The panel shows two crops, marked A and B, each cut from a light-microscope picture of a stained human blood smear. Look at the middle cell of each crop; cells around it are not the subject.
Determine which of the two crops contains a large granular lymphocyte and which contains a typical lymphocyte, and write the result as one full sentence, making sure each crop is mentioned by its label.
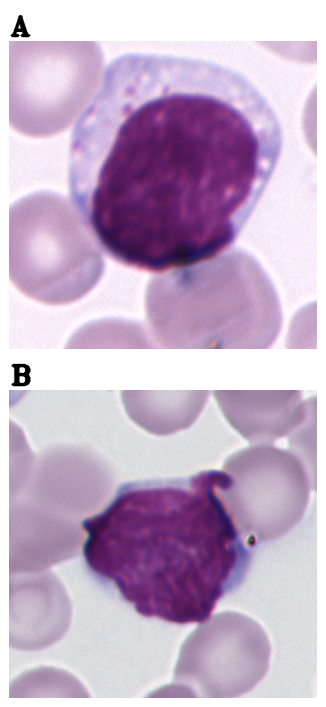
Crop A is a large granular lymphocyte, whereas a typical lymphocyte is found in crop B.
